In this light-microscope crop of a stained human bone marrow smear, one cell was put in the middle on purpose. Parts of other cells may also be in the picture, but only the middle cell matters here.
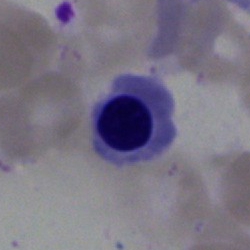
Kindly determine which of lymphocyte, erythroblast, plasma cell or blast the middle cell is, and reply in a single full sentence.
Answering briefly, the cell in the middle is an erythroblast.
